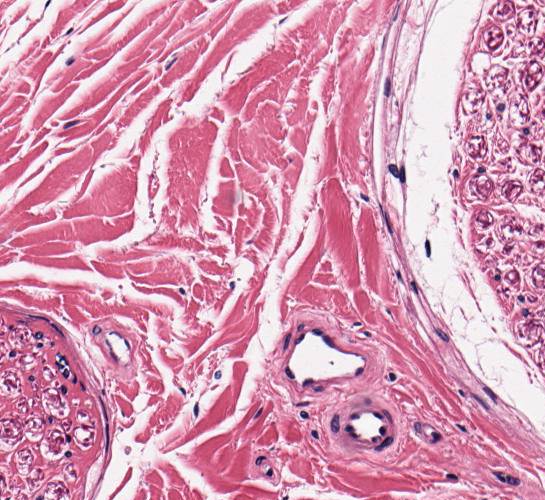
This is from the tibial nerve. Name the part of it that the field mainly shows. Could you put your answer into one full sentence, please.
Visible in this section of human tissue is the part called epineurium.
